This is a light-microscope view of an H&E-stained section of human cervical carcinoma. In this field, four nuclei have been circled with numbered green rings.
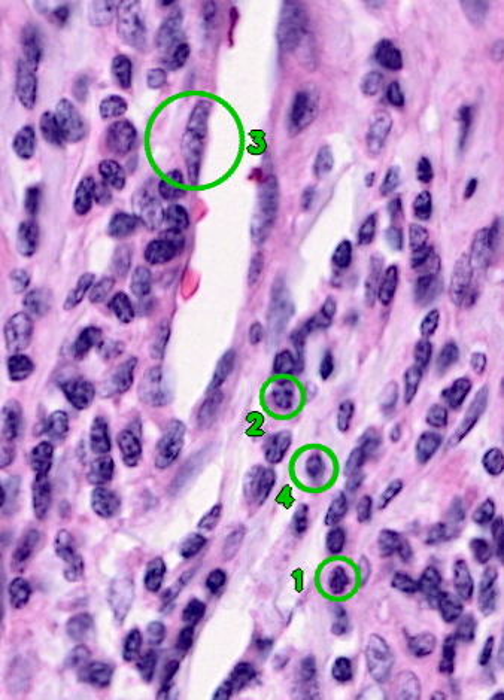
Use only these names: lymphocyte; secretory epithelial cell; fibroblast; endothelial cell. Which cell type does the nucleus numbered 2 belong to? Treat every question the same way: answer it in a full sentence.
Cell number 2 in this section is a lymphocyte.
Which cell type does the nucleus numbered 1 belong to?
In the tissue shown, cell 1 is a lymphocyte.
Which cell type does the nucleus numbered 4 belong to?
The cell referred to as 4 is a lymphocyte.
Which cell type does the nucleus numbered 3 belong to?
Within this field of view, the cell labelled 3 is an endothelial cell.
